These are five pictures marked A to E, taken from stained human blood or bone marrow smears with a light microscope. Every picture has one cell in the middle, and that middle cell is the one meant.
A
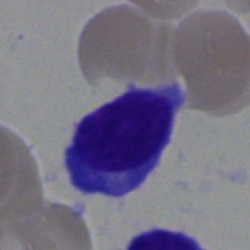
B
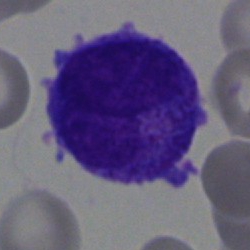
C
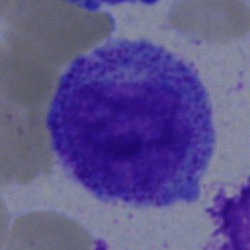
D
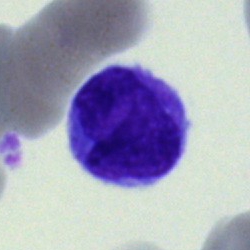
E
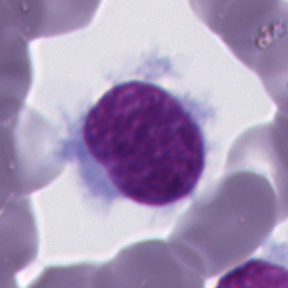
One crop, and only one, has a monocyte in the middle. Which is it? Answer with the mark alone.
D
